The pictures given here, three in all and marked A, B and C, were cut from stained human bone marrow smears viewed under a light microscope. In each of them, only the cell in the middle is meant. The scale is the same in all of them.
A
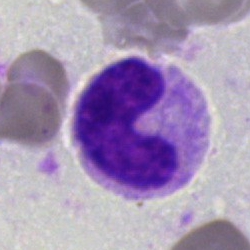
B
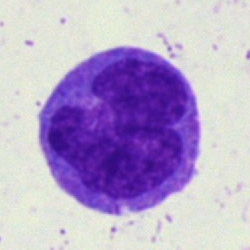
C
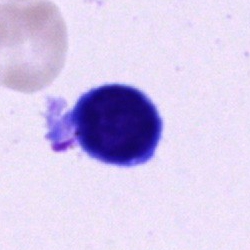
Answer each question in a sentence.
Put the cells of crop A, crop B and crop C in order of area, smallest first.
The order is C, A, B, beginning with the smallest.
